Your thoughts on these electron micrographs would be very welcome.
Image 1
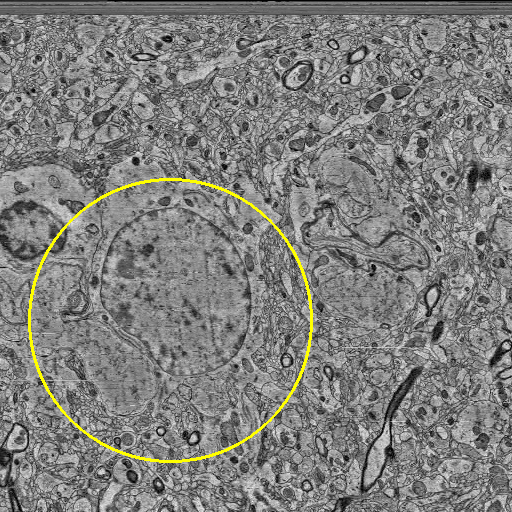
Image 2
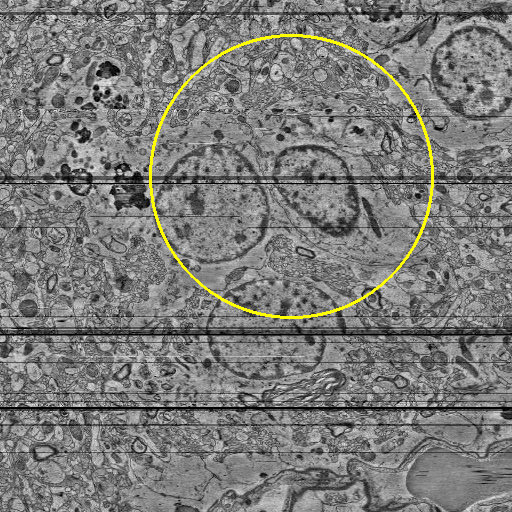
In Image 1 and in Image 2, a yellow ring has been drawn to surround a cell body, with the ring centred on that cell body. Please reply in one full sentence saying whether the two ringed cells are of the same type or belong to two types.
The ringed cells in Image 1 and Image 2 are of the same type.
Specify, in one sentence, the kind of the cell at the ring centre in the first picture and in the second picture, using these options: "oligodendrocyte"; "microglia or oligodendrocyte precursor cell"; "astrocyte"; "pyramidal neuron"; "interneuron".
The first and the second cell are each an astrocyte.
